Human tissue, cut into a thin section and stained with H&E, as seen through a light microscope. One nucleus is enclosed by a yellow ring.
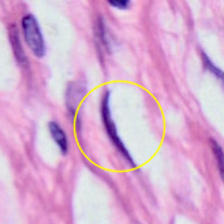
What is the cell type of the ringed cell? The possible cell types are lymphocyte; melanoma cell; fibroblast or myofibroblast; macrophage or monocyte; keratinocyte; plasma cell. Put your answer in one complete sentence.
Placed in its cell category, the ringed cell is a fibroblast or myofibroblast.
